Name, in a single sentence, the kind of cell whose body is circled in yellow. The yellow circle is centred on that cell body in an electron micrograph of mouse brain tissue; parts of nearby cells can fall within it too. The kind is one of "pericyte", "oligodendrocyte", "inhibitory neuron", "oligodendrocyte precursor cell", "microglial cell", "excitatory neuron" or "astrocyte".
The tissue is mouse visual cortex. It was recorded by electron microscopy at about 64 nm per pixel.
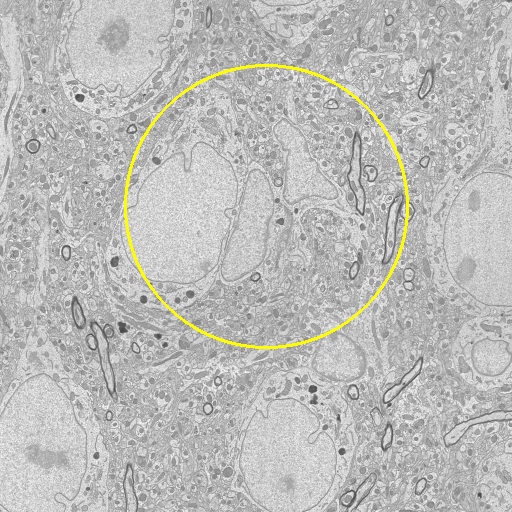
The circled cell body belongs to an oligodendrocyte precursor cell.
